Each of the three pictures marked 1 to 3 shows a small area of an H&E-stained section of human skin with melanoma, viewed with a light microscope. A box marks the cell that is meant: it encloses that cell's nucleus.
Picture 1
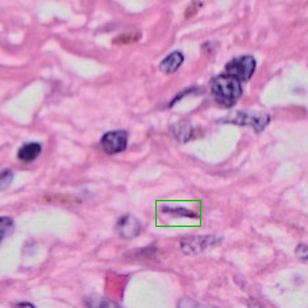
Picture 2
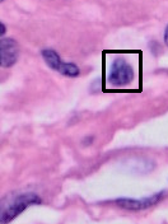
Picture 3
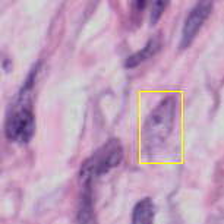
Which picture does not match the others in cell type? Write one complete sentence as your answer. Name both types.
Picture 2 is the odd one out: it shows a lymphocyte, while the others show “fibroblasts or myofibroblasts”.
